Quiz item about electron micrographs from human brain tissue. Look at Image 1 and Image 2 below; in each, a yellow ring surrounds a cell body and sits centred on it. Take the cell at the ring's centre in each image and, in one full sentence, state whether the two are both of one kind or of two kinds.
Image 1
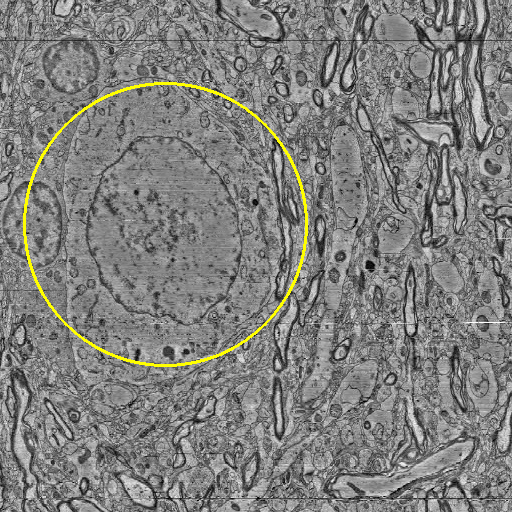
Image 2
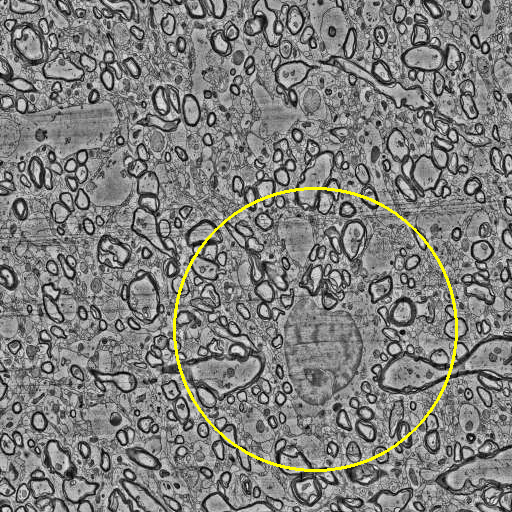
In Image 1 and Image 2, the cells at the ring centres are of two kinds.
